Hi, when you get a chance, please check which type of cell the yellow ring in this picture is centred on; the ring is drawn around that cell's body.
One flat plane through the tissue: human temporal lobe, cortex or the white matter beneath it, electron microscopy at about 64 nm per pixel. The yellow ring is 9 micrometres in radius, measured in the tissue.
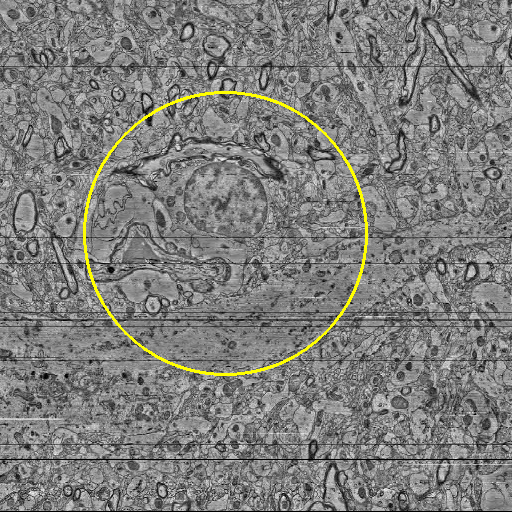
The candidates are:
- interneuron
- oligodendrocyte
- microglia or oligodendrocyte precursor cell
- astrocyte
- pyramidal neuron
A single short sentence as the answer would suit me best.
The ring is drawn around the body of an oligodendrocyte.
